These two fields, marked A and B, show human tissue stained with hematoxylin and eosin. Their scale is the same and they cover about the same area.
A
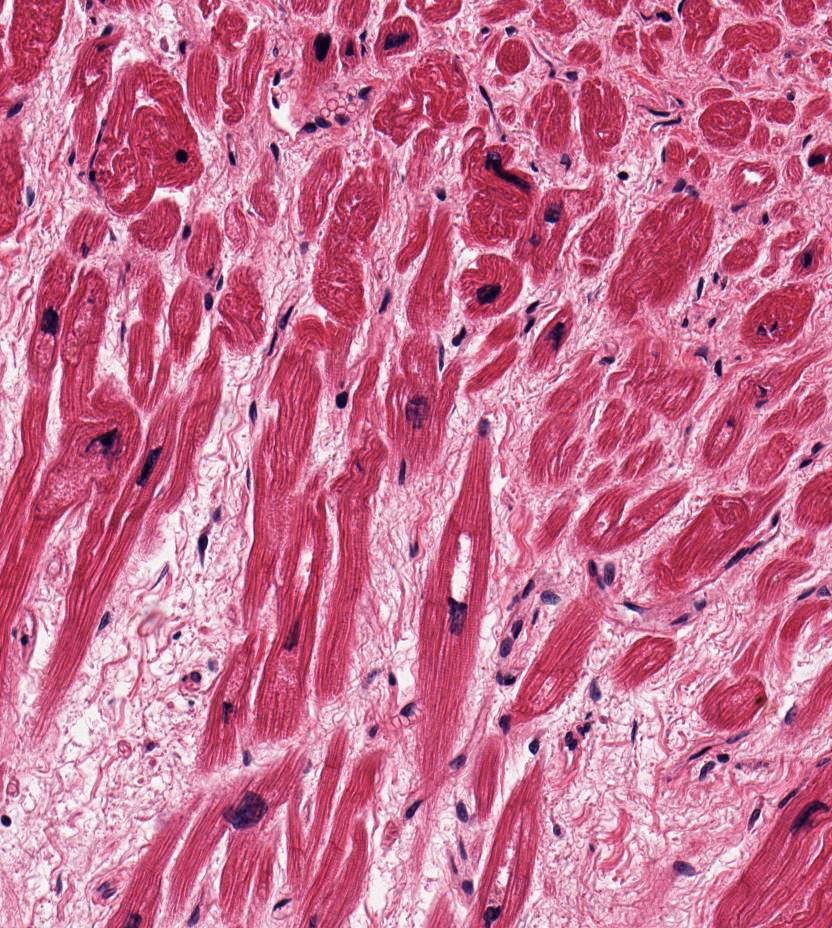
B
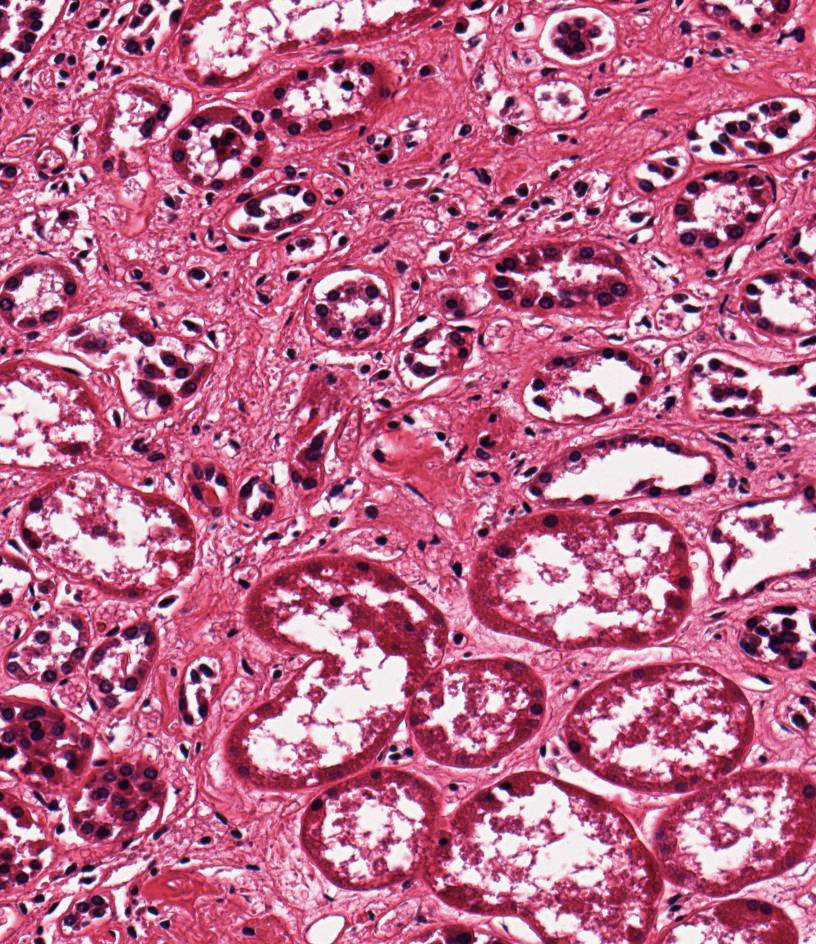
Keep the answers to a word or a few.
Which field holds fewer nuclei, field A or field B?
A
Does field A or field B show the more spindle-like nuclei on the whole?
A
